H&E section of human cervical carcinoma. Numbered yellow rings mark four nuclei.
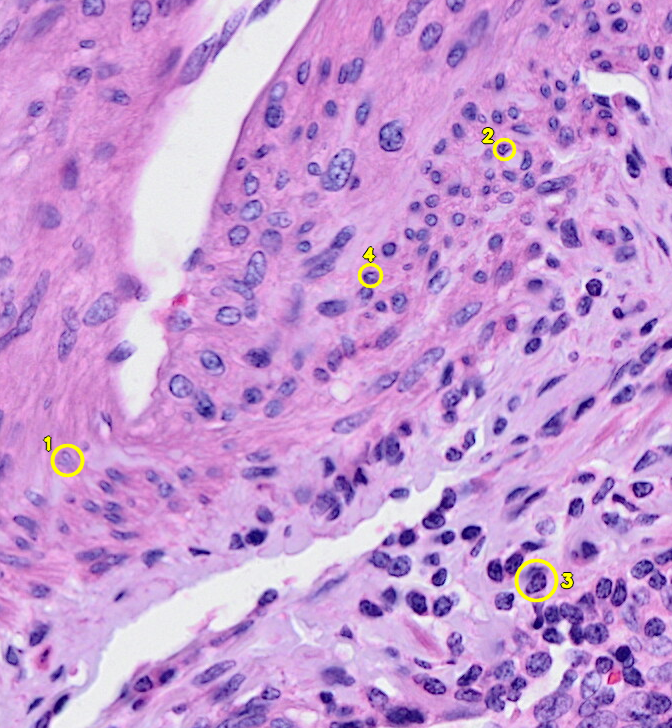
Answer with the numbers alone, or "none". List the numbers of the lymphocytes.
3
